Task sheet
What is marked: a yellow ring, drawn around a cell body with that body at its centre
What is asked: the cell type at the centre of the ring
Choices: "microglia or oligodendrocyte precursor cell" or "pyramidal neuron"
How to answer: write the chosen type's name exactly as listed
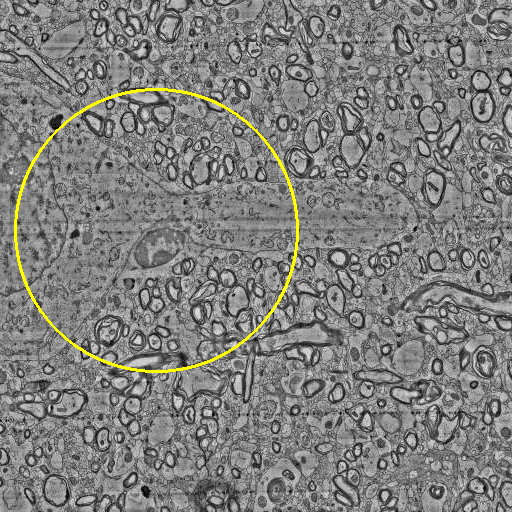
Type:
microglia or oligodendrocyte precursor cell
